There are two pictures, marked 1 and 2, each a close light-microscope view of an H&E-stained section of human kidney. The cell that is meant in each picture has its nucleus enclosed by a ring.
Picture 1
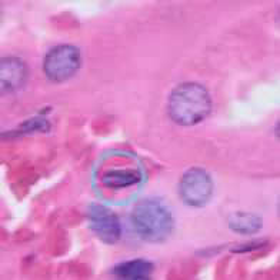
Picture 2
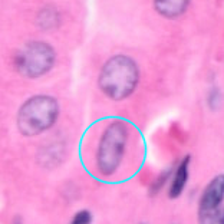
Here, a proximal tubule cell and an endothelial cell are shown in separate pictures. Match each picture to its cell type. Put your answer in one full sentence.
Picture 1 is of an endothelial cell, and picture 2 is of a proximal tubule cell.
